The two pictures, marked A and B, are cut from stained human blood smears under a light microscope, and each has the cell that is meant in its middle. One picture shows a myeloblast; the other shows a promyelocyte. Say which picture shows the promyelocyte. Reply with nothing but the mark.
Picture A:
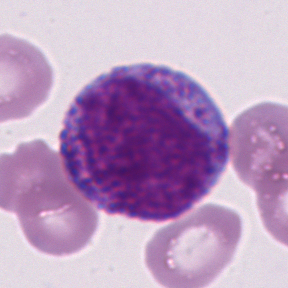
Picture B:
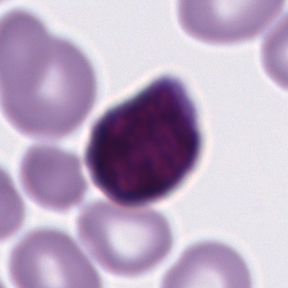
A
